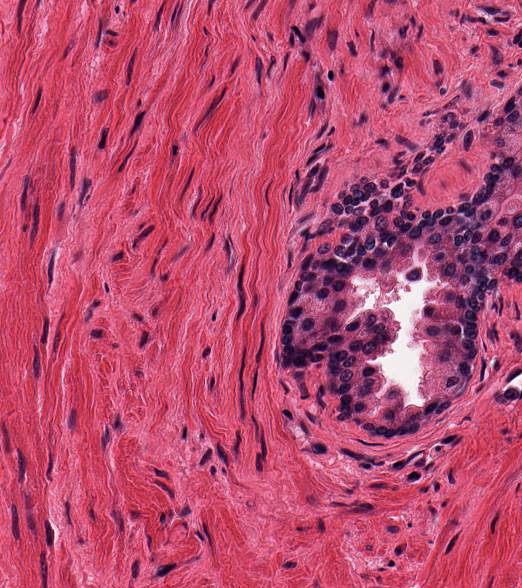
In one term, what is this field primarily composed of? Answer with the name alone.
fibromuscular stroma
